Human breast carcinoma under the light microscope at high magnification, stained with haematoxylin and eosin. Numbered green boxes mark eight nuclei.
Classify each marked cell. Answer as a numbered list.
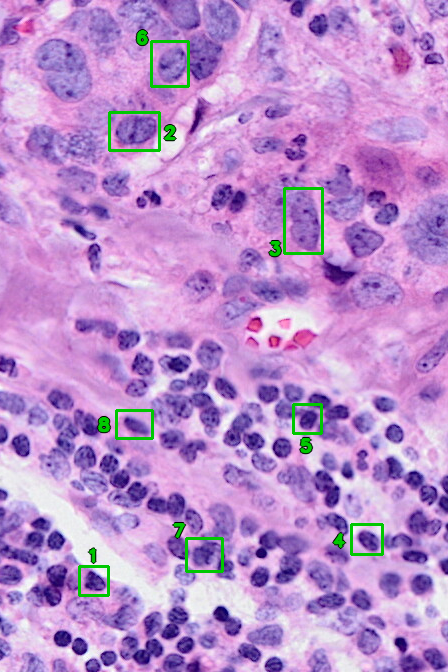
1. lymphocyte
2. carcinoma cell
3. carcinoma cell
4. lymphocyte
5. lymphocyte
6. carcinoma cell
7. lymphocyte
8. lymphocyte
